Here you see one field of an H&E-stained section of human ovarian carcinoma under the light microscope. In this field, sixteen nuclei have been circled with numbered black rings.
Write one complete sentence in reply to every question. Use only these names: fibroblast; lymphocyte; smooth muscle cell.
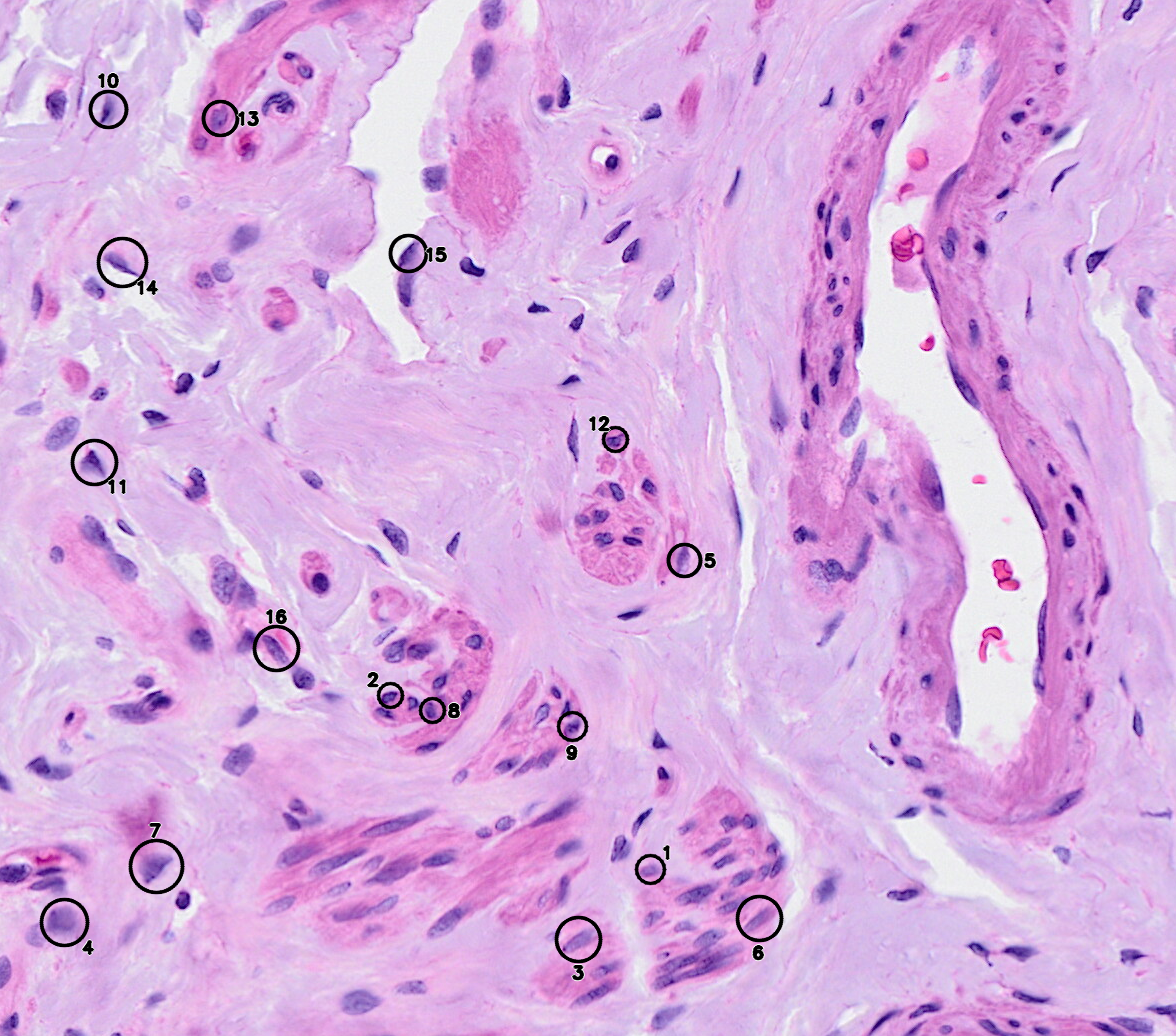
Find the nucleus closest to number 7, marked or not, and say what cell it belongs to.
It is a lymphocyte whose nucleus is nearest to number 7.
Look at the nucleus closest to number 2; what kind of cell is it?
The nearest nucleus to number 2 belongs to a smooth muscle cell.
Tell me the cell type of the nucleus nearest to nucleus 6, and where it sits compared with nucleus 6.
The closest nucleus belongs to a smooth muscle cell and sits above and to the left of nucleus 6.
